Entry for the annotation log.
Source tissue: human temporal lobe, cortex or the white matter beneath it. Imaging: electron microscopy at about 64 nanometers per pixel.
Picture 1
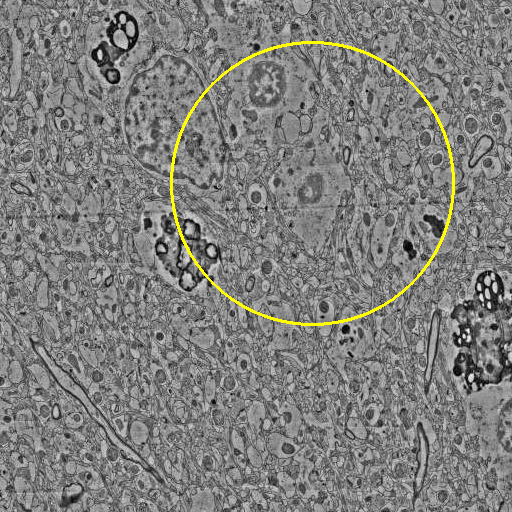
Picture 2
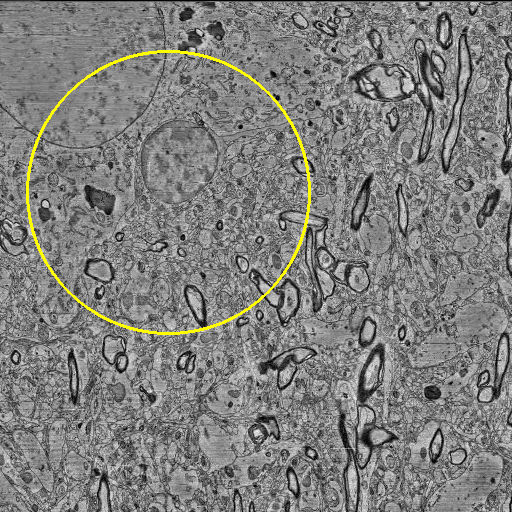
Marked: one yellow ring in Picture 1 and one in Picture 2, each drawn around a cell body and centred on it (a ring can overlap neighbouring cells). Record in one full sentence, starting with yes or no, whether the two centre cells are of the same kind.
No, the two cells are of two kinds.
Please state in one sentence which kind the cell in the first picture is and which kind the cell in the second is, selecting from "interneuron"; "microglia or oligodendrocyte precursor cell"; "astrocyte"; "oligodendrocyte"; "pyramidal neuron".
The first ringed cell is an astrocyte, the second ringed cell an oligodendrocyte.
